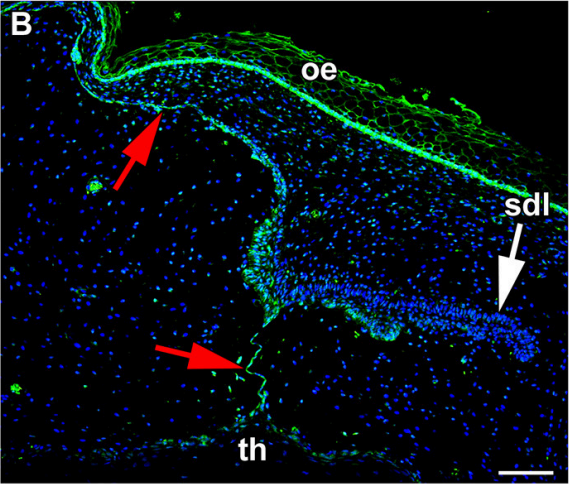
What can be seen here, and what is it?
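A stratified surface epithelium with green cell outlines curves across the top, and from it an epithelial band descends into the underlying connective tissue. This band turns toward the right into a thick cord of tightly packed cells with blue nuclei that carry little green, ending in a rounded tip. From the descending part a very thin green line of flattened cells continues downward toward a structure at the bottom.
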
